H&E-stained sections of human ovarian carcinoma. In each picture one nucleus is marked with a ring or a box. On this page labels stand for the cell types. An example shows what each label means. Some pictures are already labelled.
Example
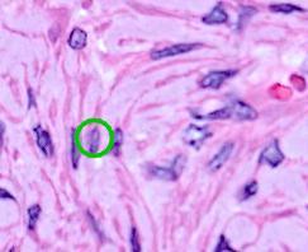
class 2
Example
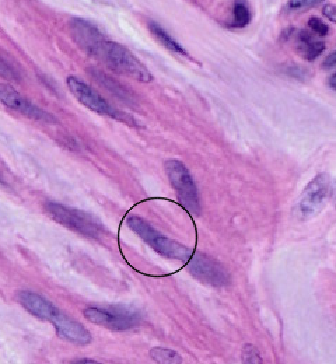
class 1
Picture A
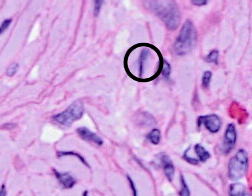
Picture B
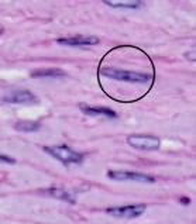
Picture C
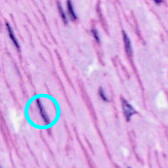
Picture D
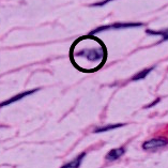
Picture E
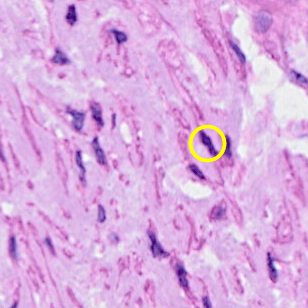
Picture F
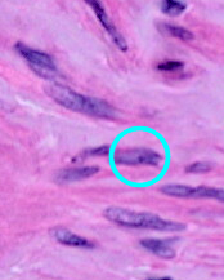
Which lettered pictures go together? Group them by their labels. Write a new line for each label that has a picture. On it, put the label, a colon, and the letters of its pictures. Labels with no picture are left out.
class 2: A, B, C, D, E
class 1: F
